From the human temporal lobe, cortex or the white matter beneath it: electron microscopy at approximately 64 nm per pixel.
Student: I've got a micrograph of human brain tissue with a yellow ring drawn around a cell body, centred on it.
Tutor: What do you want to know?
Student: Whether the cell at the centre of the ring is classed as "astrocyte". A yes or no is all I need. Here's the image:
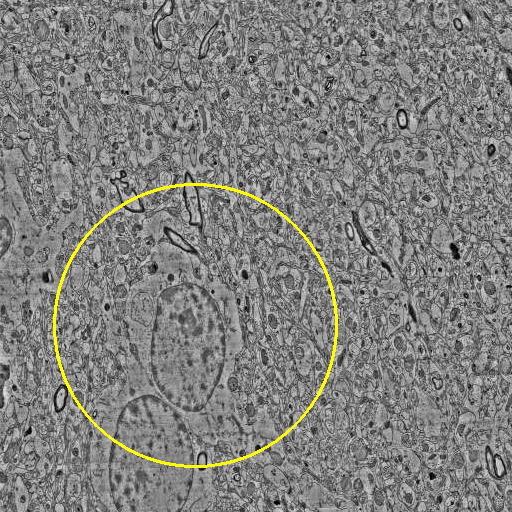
yes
